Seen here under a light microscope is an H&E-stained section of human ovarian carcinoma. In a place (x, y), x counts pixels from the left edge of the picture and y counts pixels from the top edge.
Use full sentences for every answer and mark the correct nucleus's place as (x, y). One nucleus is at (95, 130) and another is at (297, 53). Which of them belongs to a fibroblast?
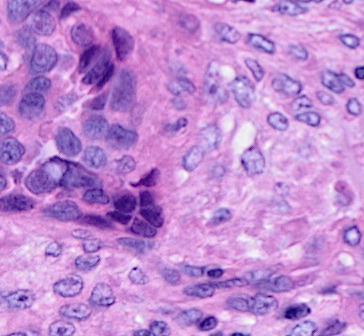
The nucleus whose position is (297, 53) belongs to a fibroblast.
